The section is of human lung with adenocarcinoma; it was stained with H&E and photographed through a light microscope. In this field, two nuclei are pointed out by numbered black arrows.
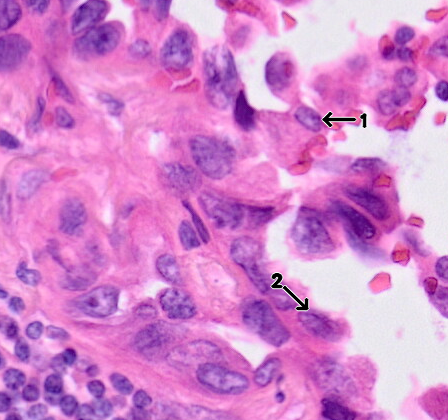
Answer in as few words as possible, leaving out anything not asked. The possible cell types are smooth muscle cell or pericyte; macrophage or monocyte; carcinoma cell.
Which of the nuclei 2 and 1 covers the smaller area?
1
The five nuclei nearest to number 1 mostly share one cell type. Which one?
carcinoma cell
